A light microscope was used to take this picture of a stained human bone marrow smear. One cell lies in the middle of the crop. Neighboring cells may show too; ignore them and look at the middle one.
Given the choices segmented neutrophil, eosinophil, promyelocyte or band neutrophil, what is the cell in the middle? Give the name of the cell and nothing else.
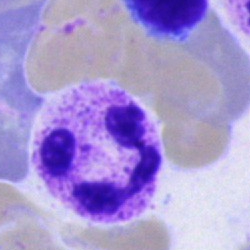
segmented neutrophil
